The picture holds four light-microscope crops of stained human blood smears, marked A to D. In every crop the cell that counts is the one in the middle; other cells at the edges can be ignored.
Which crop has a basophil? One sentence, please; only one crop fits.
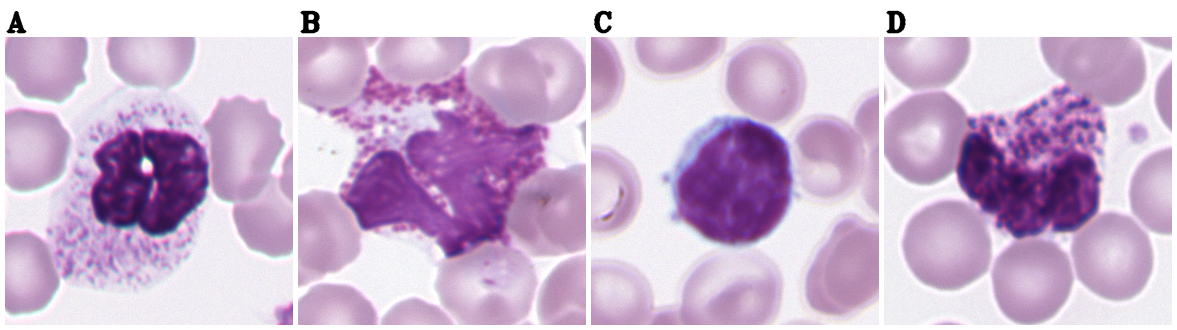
Within this set, crop D is the one with a basophil at its center.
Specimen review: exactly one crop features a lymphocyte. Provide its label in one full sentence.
Selected crop: C, which is the one that shows a lymphocyte.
